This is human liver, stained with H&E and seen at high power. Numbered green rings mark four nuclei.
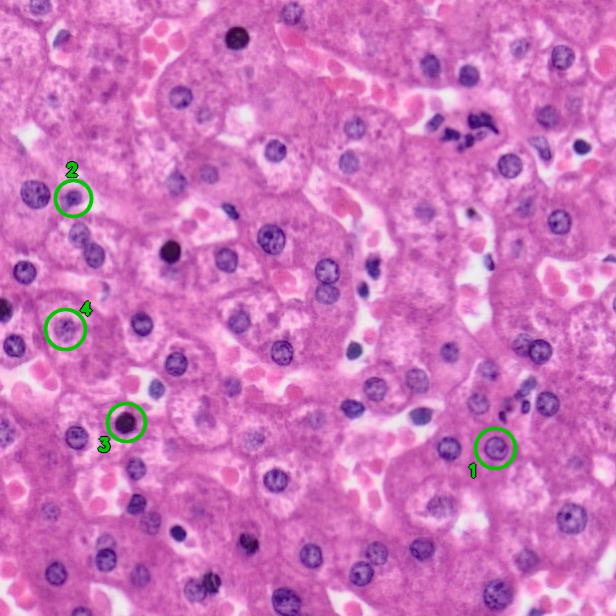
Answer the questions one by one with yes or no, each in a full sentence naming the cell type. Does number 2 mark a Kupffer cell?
Yes, the cell at marker 2 is a Kupffer cell.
